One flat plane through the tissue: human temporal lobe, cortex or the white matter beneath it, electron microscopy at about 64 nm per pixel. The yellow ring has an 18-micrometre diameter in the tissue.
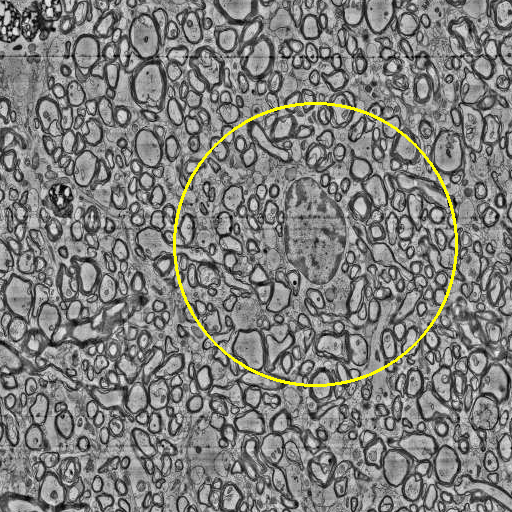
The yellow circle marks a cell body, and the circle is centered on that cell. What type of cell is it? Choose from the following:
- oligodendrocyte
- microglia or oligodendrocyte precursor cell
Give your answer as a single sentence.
This cell body belongs to a microglial cell or oligodendrocyte precursor cell.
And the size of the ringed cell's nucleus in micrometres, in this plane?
In this plane the nucleus measures roughly 7 by 4 micrometres.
